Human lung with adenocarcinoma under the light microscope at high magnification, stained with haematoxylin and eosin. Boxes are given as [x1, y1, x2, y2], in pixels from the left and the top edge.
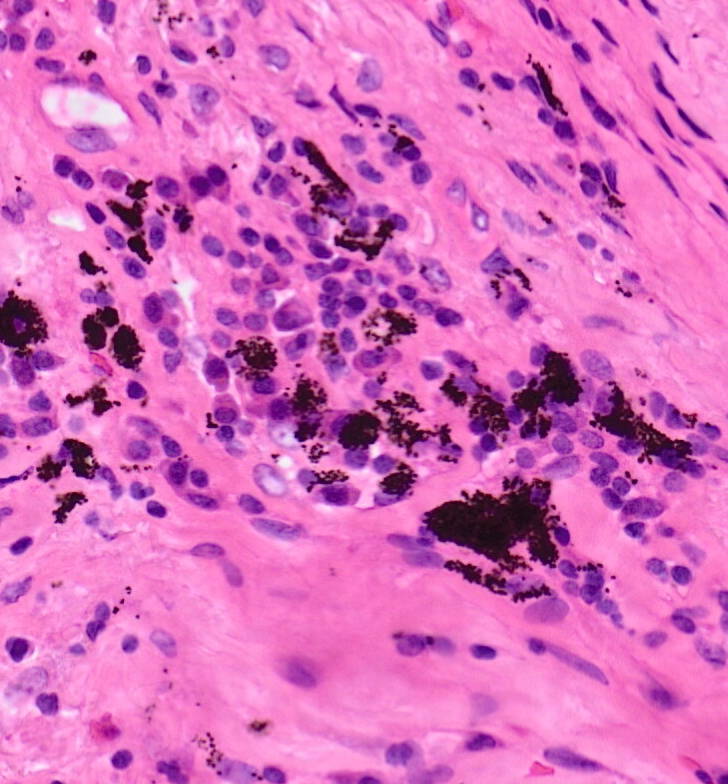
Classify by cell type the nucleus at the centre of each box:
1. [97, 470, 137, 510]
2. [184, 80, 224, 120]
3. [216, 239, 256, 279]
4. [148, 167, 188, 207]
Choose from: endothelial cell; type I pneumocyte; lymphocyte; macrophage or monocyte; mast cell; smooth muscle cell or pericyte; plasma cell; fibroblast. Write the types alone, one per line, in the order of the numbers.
lymphocyte
fibroblast
lymphocyte
plasma cell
